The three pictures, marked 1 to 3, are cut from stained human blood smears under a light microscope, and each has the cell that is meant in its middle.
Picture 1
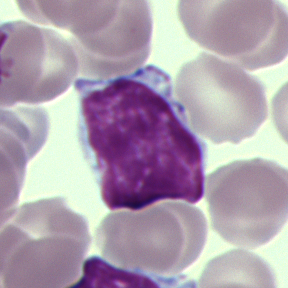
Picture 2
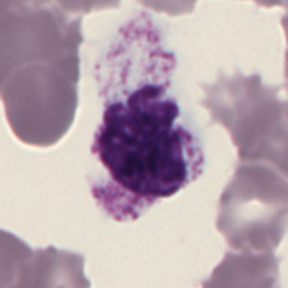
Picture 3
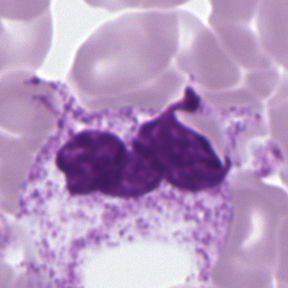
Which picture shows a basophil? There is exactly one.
2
